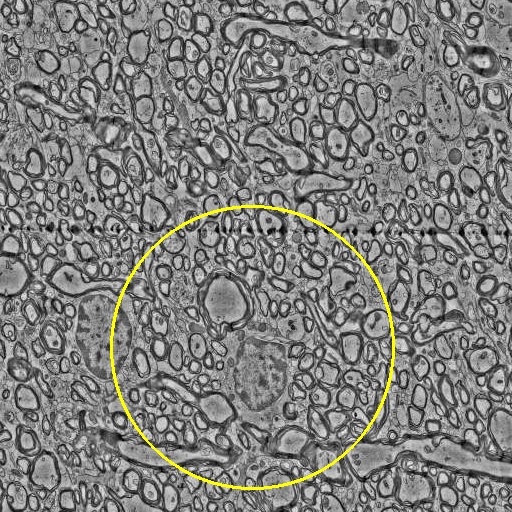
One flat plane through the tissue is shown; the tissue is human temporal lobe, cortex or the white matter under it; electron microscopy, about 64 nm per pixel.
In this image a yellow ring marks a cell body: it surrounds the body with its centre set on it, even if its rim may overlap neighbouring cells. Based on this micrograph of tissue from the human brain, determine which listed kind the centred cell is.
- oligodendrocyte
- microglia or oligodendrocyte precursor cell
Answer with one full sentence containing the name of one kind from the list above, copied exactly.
It is an oligodendrocyte whose body the yellow ring encloses at its centre.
